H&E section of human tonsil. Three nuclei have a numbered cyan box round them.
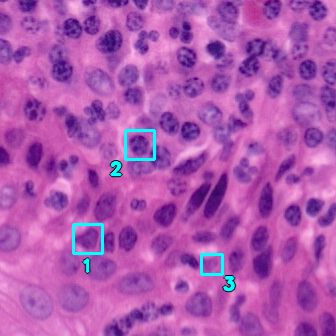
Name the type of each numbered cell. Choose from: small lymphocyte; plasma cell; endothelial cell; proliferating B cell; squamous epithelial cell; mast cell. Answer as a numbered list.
1. squamous epithelial cell
2. plasma cell
3. squamous epithelial cell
